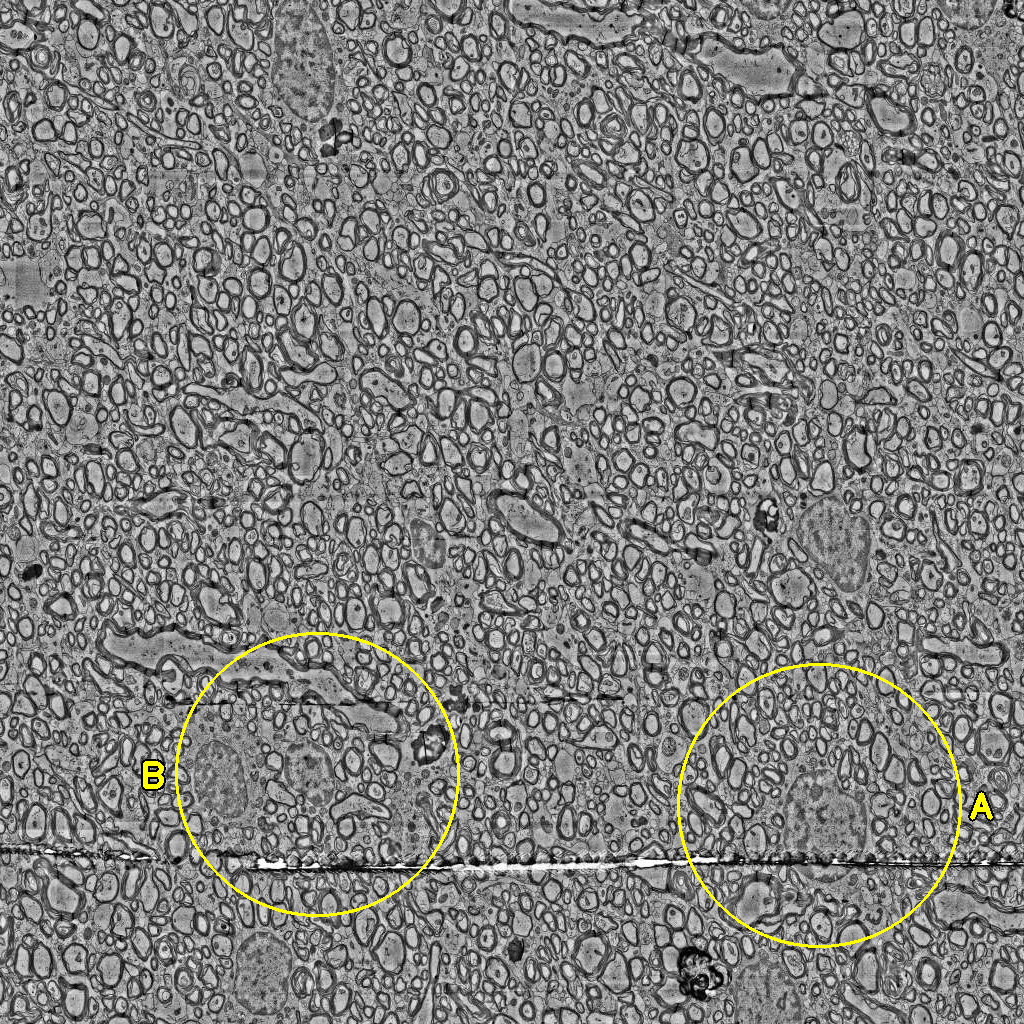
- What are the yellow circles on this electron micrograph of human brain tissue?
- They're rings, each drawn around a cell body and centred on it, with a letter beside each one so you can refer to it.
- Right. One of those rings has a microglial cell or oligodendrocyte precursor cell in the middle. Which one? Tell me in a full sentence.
It's ring B.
